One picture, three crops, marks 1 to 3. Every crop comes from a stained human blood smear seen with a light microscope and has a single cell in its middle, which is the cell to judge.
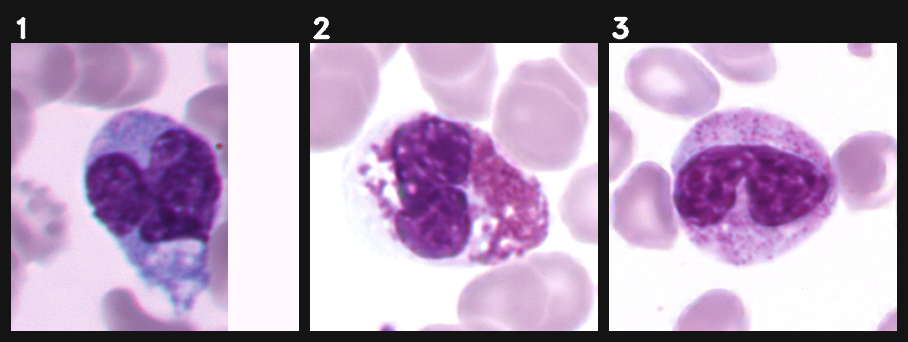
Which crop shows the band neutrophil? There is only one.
3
